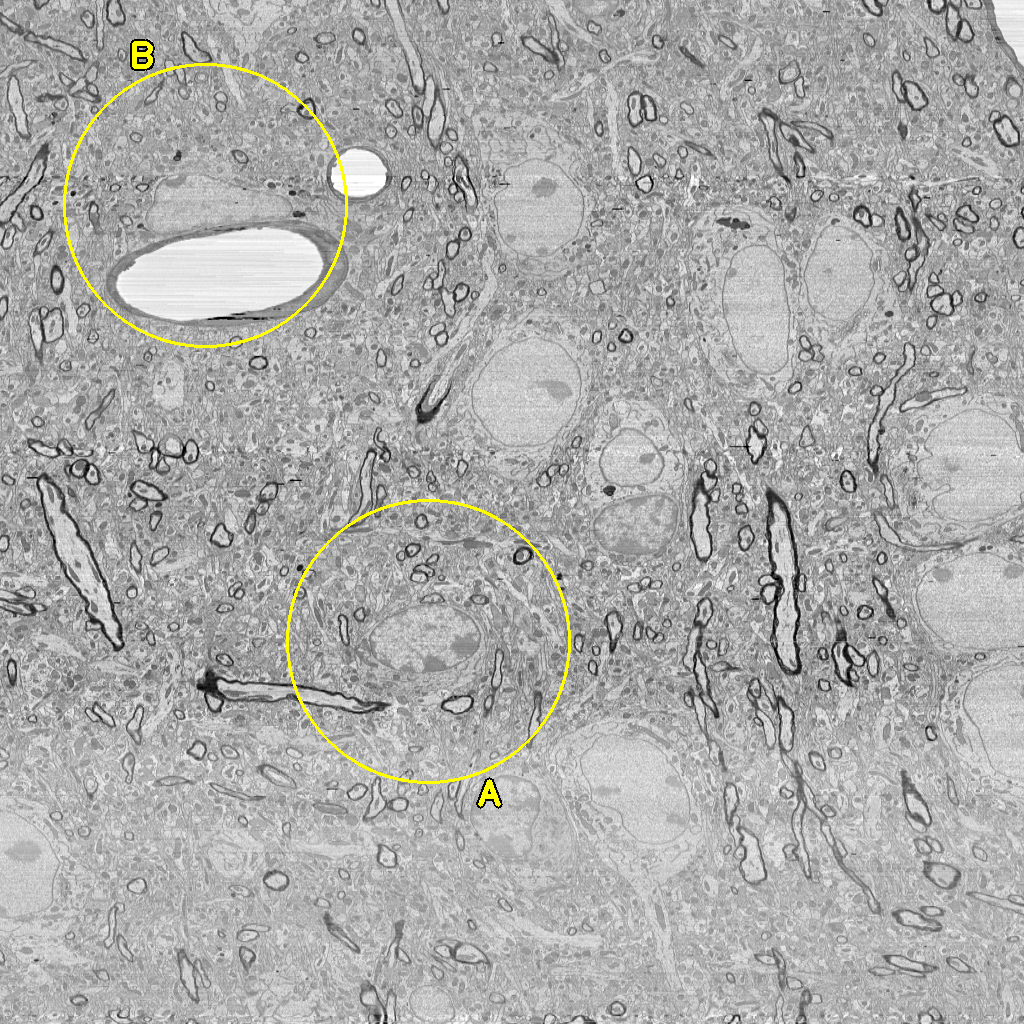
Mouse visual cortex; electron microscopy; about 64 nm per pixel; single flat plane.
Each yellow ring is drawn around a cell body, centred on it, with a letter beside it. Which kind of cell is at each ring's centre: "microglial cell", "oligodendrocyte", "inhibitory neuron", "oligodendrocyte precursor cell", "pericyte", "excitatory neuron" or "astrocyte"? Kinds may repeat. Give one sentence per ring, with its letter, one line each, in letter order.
Ring A is centred on an oligodendrocyte.
Ring B is centred on an astrocyte.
